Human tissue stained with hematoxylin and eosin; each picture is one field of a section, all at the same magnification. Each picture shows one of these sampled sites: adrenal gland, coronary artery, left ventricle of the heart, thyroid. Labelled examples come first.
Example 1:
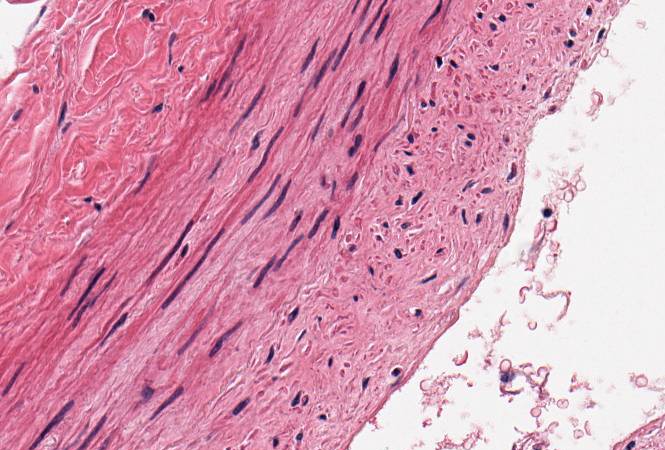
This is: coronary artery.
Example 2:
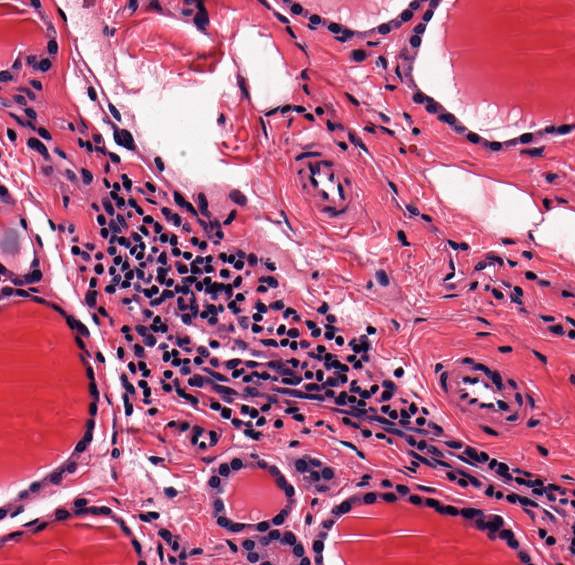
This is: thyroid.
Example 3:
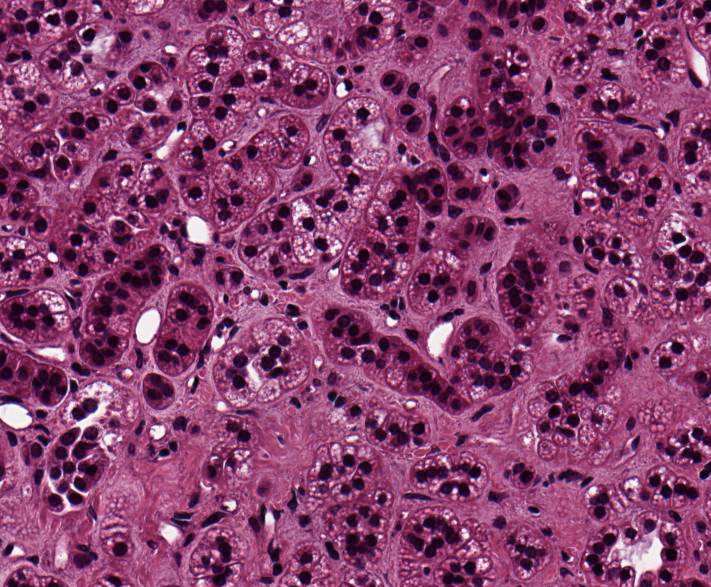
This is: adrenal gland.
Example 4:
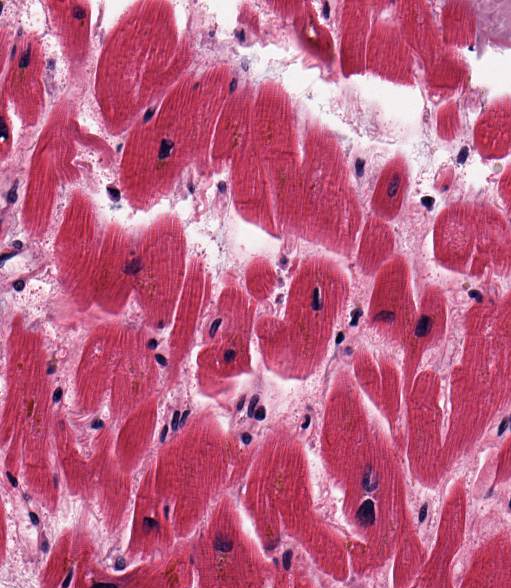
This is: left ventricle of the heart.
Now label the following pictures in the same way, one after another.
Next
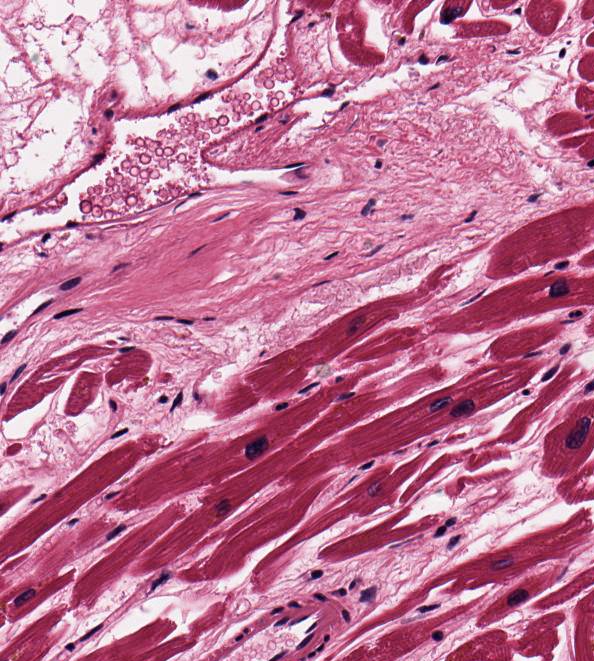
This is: left ventricle of the heart.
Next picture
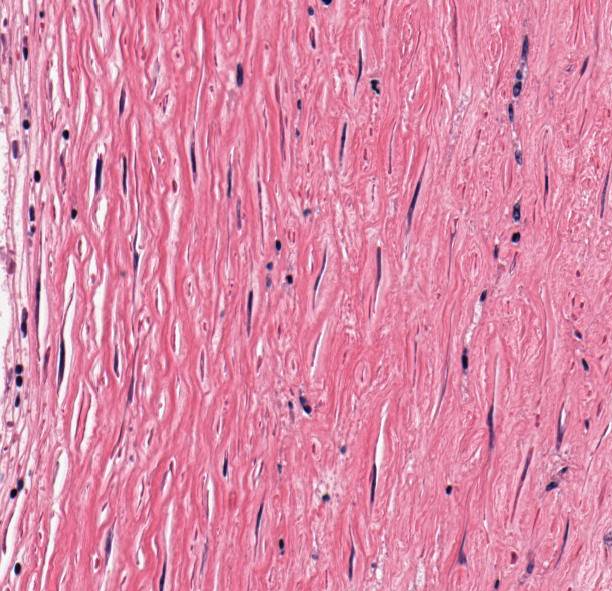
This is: coronary artery.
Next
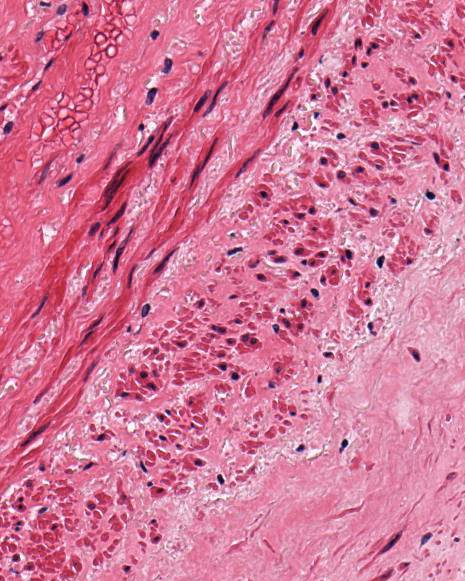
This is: coronary artery.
